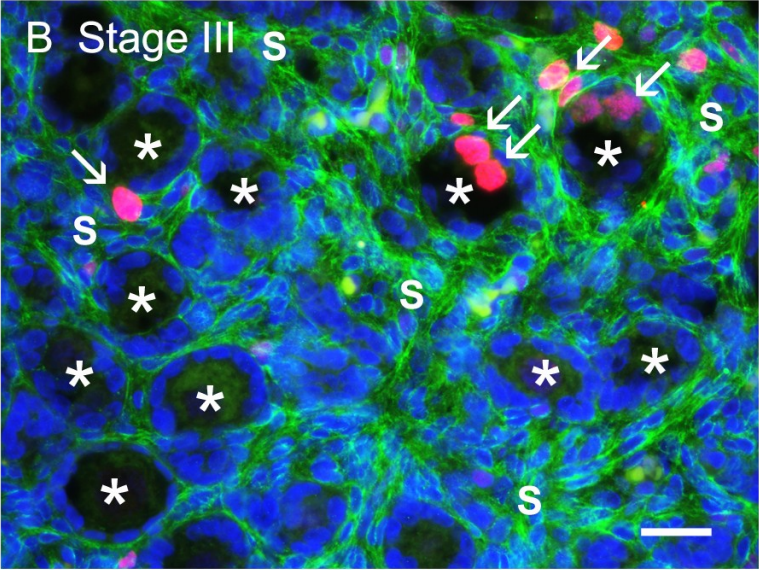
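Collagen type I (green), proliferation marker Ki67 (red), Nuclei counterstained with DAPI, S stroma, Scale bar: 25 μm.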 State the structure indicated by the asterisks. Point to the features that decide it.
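Each asterisk lies on a large round cell with a dark, weakly stained centre. Each large round cell is ringed by a single layer of small nuclei. The rounded units are separated from one another by green fibrous tissue. So: primordial follicles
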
